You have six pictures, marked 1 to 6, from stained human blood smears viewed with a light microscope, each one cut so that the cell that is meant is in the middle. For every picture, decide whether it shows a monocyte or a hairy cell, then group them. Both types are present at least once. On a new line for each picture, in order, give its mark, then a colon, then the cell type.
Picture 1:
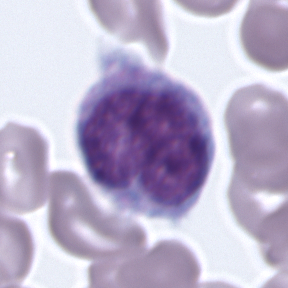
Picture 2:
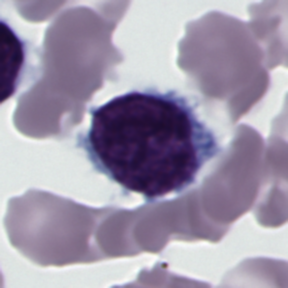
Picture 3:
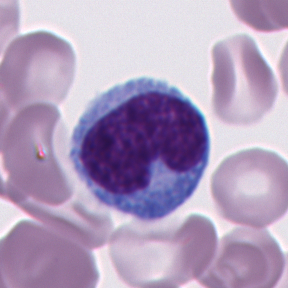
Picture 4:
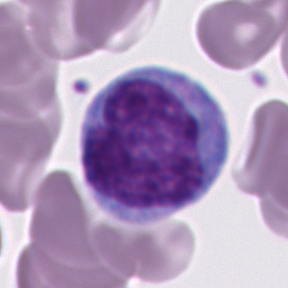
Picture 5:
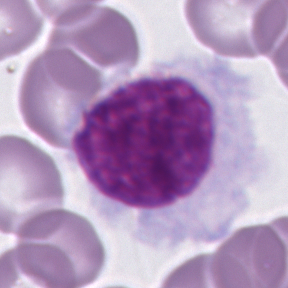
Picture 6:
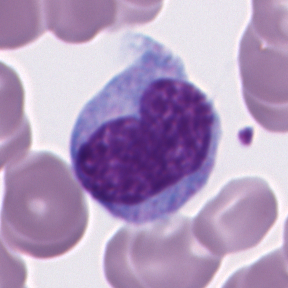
1: monocyte
2: hairy cell
3: monocyte
4: monocyte
5: hairy cell
6: monocyte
